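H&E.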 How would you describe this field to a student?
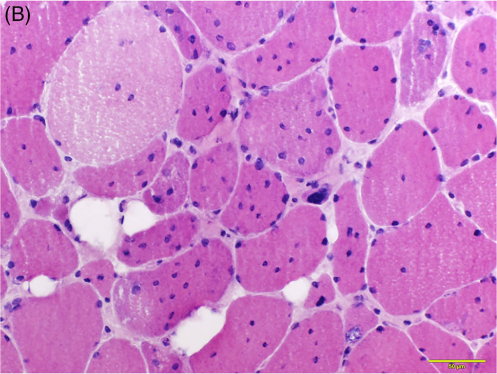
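This is skeletal muscle in cross-section, with polygonal pink-staining fibers of clearly varying size separated by thin pale connective tissue. Many fibers carry dark purple nuclei within their interior rather than only at the edge, some with several such nuclei. A large fiber at upper left is pale with a mottled, finely fibrillar texture, and a dark purple clump of nuclei lies between fibers near the center. Round clear spaces are scattered among the fibers.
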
